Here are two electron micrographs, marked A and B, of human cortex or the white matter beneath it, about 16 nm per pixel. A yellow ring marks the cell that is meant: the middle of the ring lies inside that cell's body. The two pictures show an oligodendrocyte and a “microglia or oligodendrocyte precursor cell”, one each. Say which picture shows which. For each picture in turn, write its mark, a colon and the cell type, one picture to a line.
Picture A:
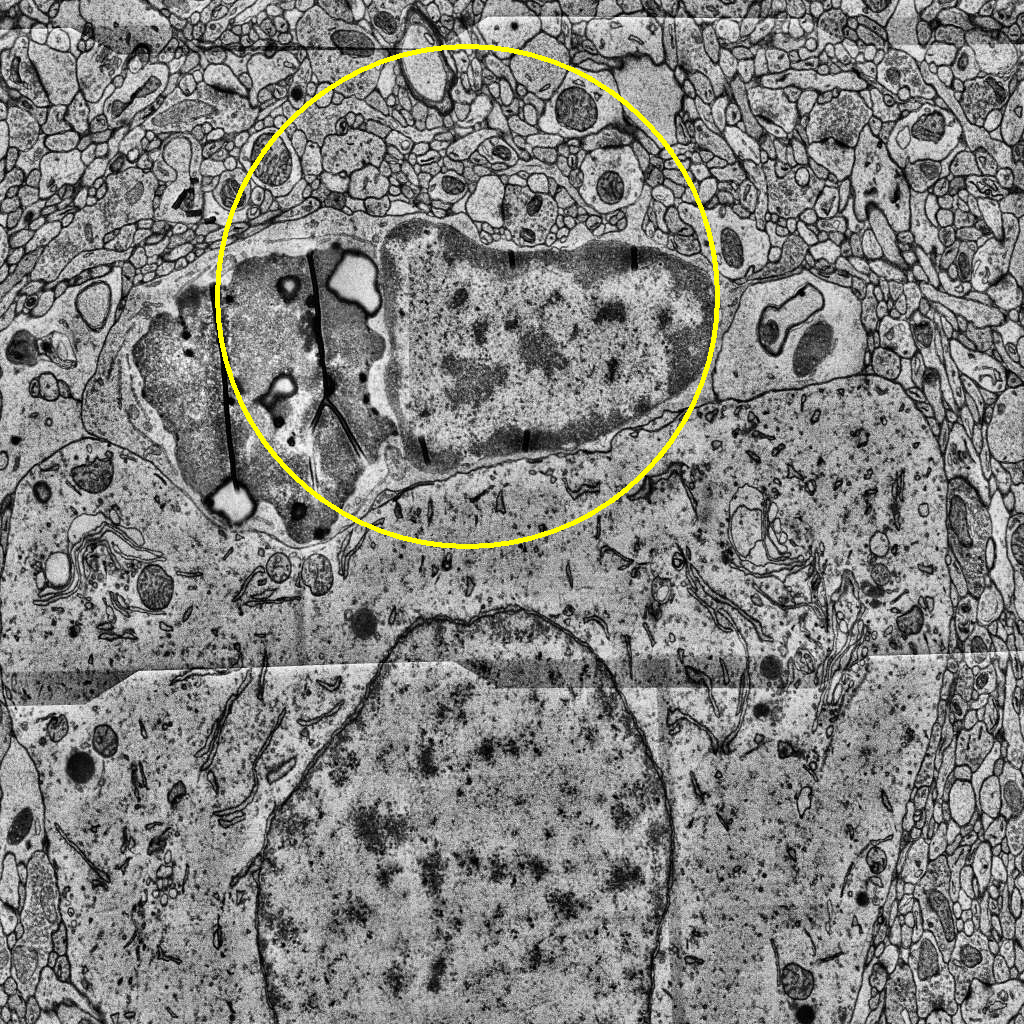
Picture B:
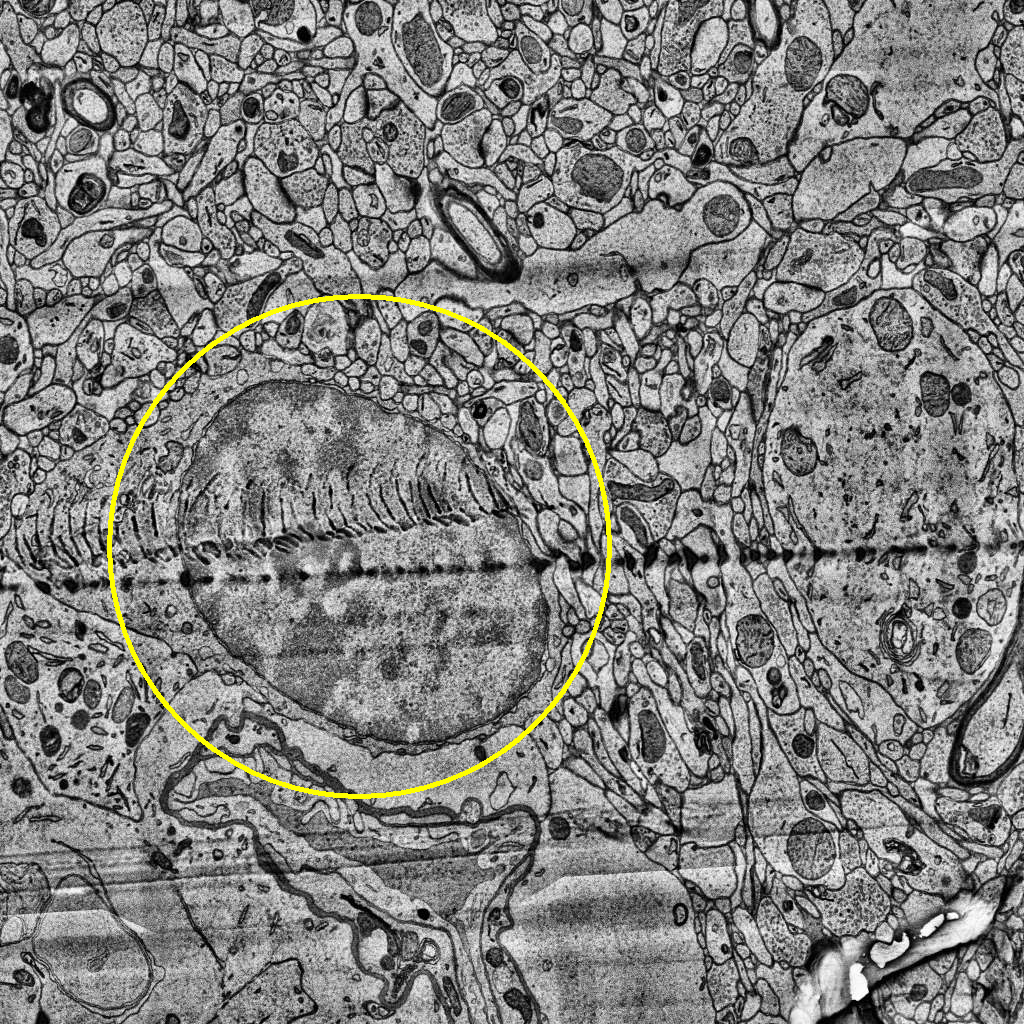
A: microglia or oligodendrocyte precursor cell
B: oligodendrocyte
